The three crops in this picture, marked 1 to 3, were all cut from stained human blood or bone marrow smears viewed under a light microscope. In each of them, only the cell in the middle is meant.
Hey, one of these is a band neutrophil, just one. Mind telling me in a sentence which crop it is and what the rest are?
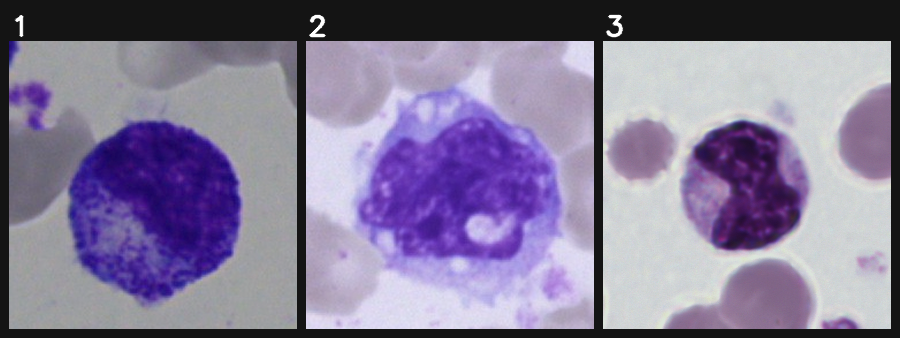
In this group, crop 3 shows a band neutrophil, while crop 1 is a promyelocyte and crop 2 is a monocyte.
